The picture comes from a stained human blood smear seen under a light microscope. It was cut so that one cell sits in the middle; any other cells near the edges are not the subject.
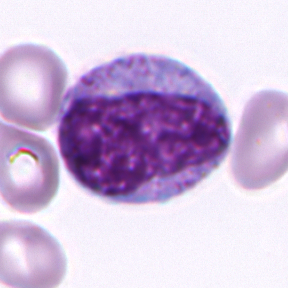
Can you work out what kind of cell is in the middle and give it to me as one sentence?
The cell found in the middle of this crop is a myelocyte.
